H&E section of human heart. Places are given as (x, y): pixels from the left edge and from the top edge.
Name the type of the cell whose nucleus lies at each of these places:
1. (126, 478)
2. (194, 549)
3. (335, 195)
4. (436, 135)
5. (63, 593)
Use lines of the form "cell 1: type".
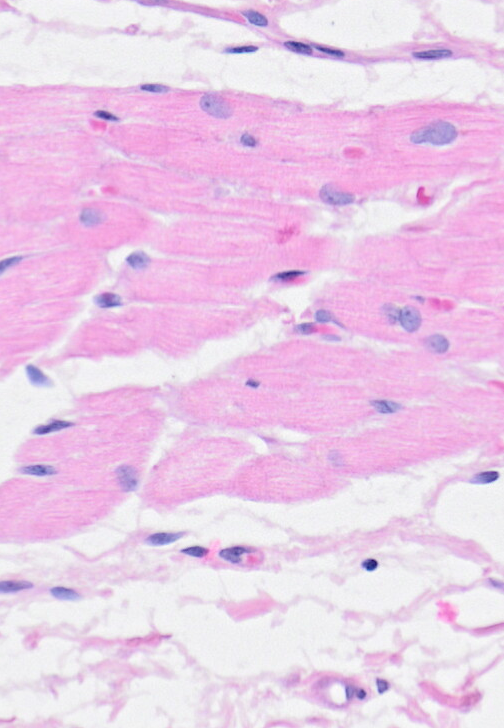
cell 1: cardiomyocyte
cell 2: fibroblast
cell 3: cardiomyocyte
cell 4: cardiomyocyte
cell 5: fibroblast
